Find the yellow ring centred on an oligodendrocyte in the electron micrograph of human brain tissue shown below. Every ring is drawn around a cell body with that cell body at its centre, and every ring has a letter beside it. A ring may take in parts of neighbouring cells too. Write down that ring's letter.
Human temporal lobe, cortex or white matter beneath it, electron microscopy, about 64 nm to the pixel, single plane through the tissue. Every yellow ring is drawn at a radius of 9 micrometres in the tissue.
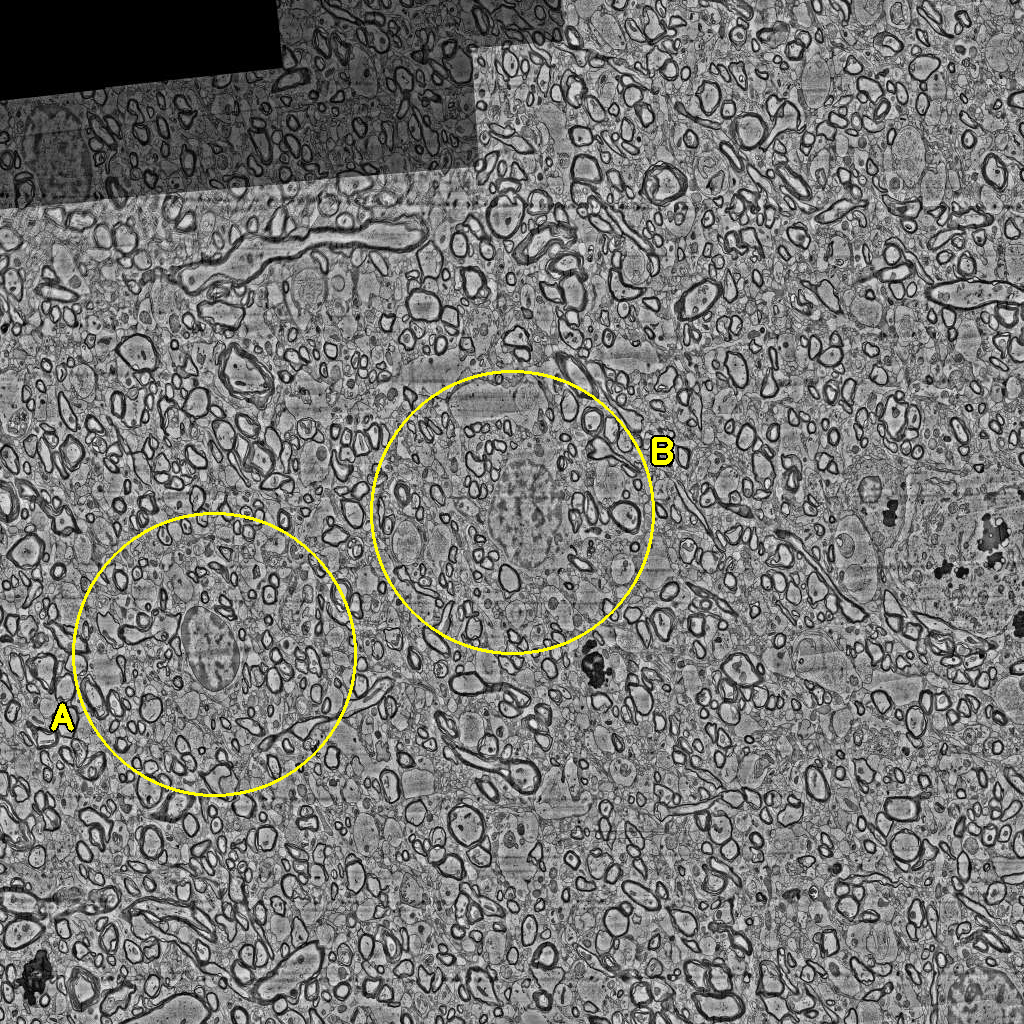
B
